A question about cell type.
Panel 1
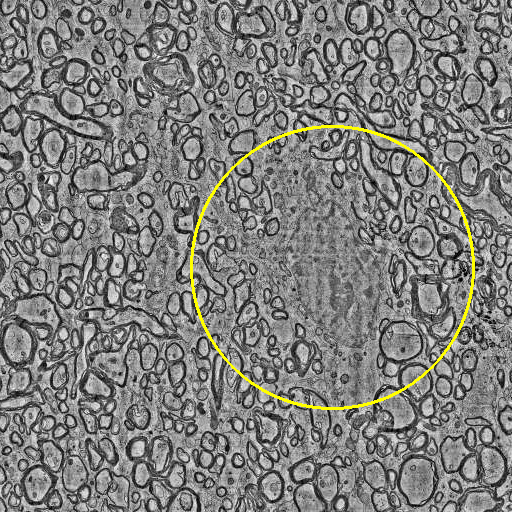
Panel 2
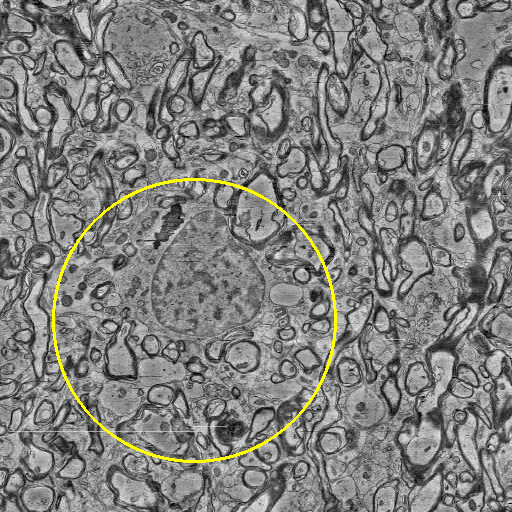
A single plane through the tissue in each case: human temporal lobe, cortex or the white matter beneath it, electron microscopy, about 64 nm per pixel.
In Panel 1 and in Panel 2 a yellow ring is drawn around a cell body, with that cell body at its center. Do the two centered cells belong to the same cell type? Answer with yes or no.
no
